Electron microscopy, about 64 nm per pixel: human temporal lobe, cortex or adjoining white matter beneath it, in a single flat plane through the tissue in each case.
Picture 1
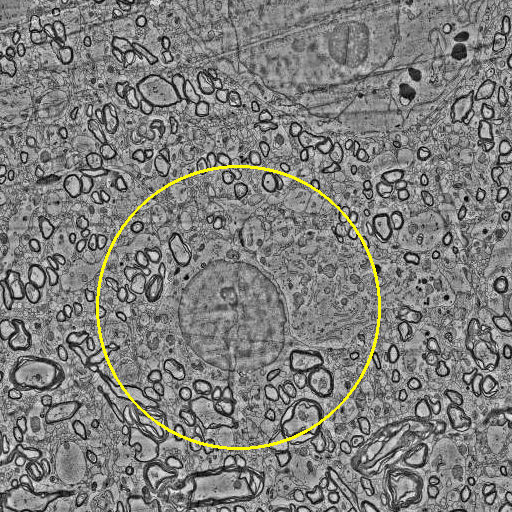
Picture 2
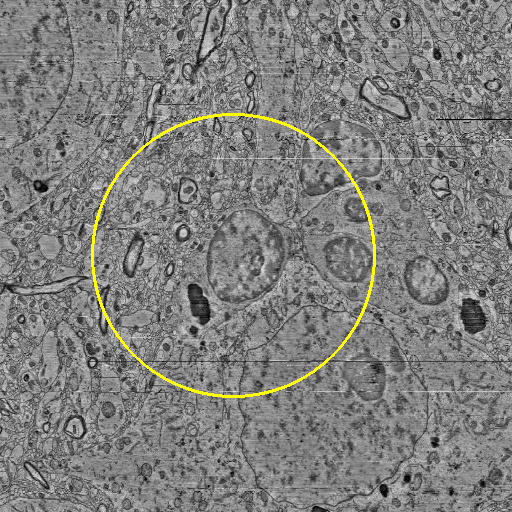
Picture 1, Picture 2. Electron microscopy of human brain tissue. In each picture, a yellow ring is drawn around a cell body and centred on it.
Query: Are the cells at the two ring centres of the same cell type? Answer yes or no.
yes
